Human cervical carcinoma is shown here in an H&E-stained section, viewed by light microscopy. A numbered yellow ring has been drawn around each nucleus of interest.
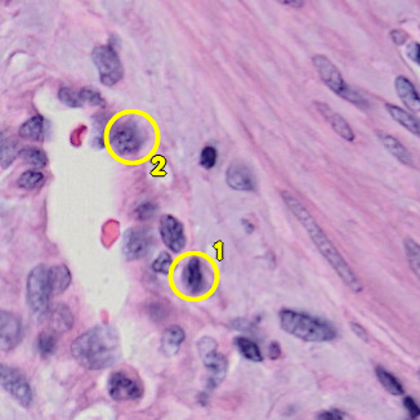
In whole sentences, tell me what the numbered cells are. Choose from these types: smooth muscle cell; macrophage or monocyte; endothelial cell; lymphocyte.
Cell 1 is a lymphocyte and cell 2 is an endothelial cell.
